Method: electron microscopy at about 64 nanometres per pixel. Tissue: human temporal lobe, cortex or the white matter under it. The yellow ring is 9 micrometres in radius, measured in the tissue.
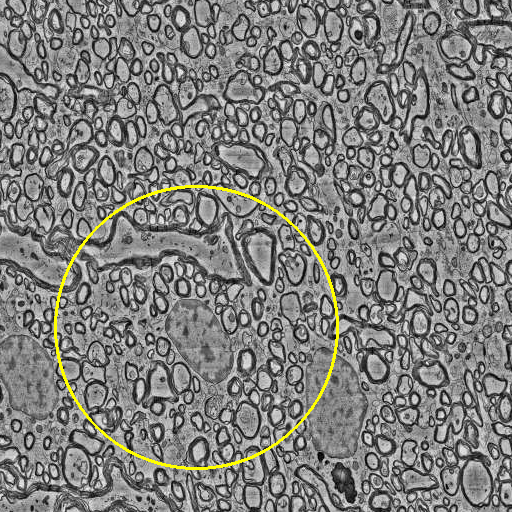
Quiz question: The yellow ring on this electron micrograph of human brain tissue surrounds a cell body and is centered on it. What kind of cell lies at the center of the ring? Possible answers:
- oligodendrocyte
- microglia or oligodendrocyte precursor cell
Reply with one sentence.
The ring's center lies on a microglial cell or oligodendrocyte precursor cell.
